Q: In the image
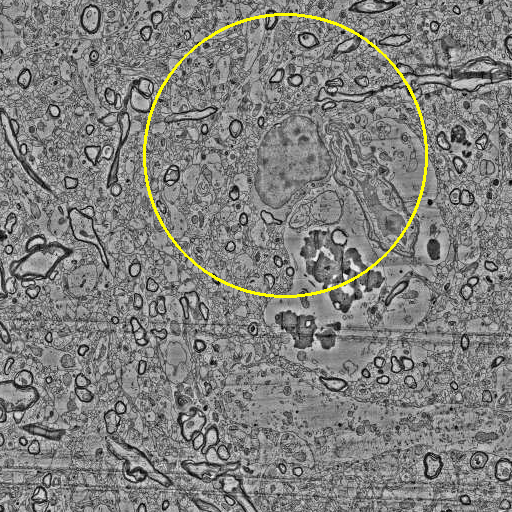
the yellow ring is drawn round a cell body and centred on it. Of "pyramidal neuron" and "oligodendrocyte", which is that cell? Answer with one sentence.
The cell centred in the ring is an oligodendrocyte.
